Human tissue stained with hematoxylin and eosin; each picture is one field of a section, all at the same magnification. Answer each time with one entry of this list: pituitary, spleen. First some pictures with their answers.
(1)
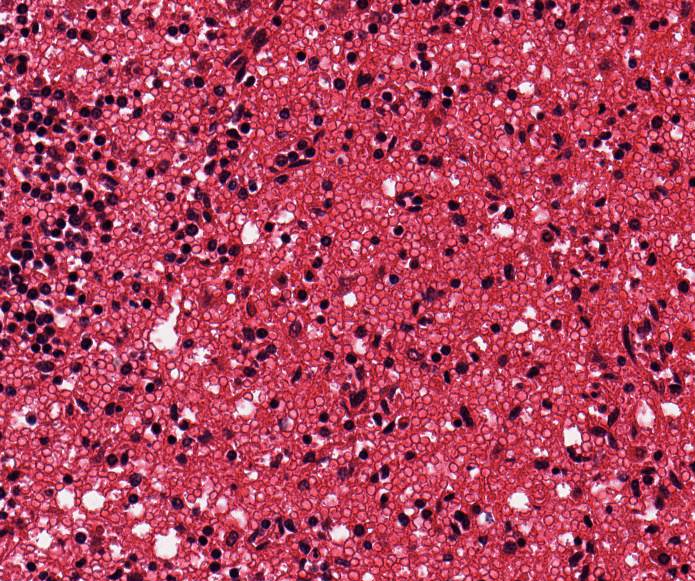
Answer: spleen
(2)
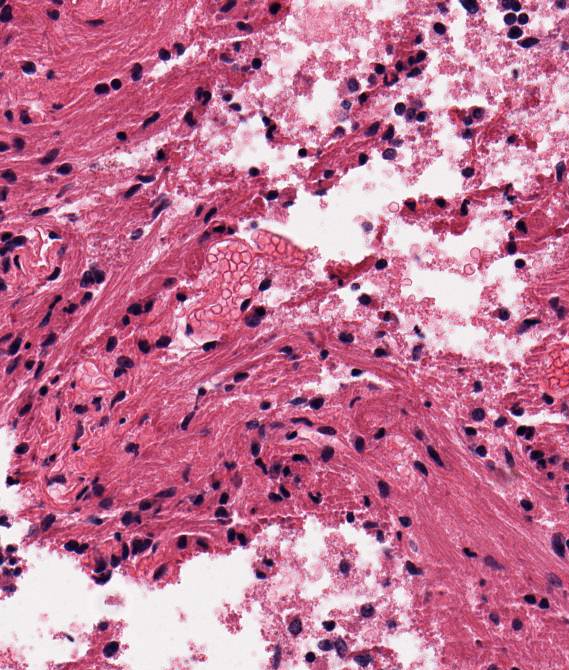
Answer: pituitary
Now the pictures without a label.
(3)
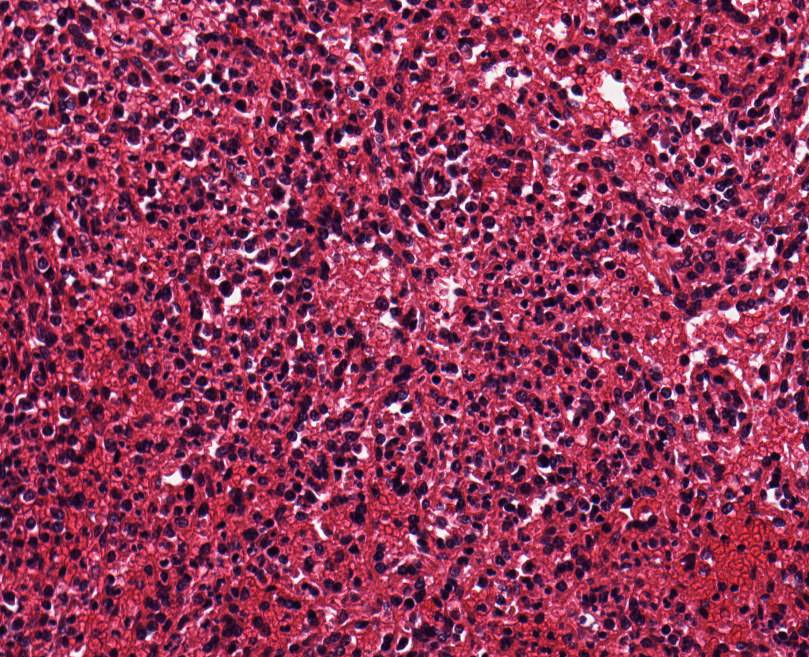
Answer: spleen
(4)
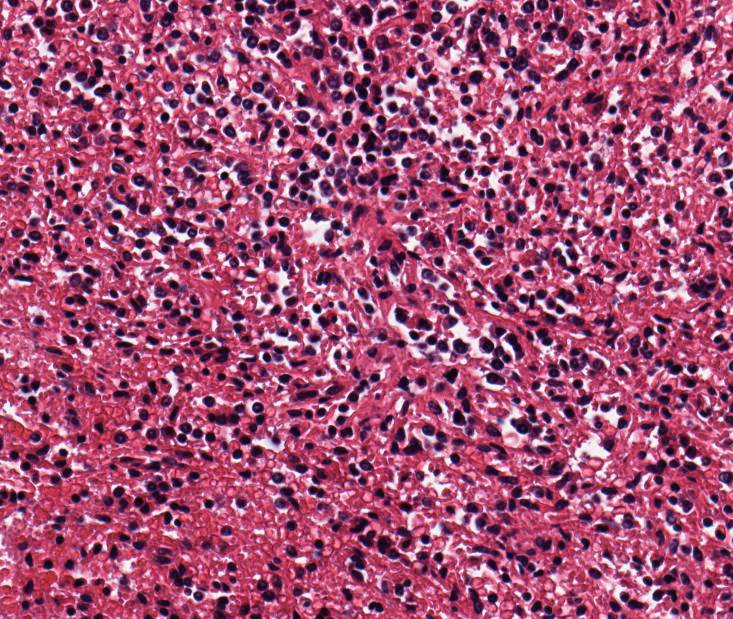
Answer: spleen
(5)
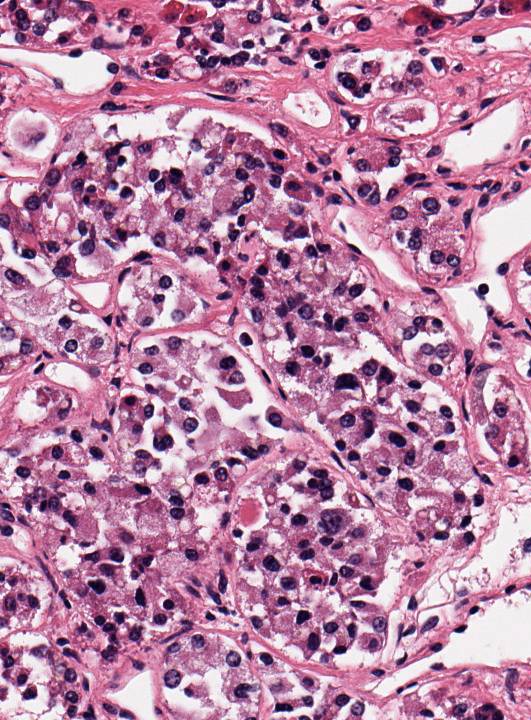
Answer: pituitary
